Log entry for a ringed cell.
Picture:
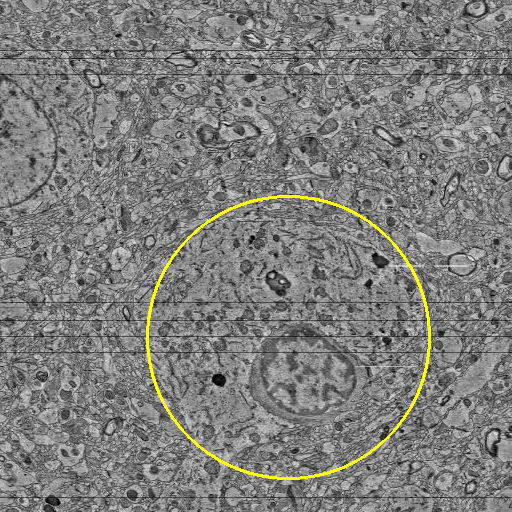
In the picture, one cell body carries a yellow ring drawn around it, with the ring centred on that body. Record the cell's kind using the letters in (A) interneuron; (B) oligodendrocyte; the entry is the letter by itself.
B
